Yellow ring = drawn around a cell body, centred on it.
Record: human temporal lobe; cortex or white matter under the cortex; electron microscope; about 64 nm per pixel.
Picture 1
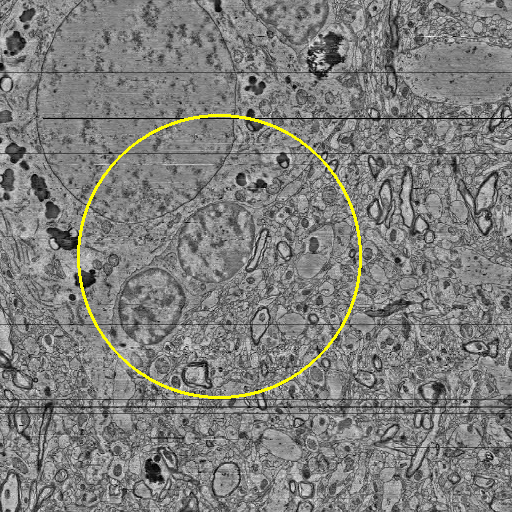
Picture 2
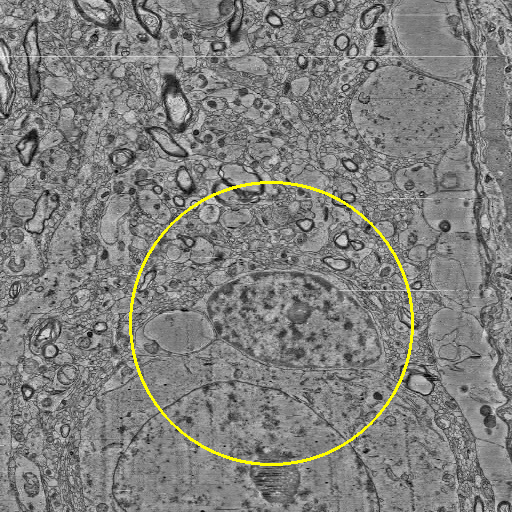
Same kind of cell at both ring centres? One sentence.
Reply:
No, they are two kinds of cell.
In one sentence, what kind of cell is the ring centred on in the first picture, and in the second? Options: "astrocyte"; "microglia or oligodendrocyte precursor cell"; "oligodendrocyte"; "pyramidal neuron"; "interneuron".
The cell at the centre of the second ring is a microglial cell or oligodendrocyte precursor cell; the first ring's cell is an oligodendrocyte.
